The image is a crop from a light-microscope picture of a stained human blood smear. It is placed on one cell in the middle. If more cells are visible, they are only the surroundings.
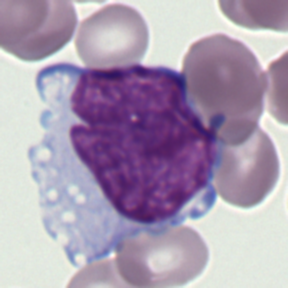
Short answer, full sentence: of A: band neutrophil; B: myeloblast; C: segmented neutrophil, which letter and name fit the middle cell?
Option B is the correct one; it names the central cell as a myeloblast.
